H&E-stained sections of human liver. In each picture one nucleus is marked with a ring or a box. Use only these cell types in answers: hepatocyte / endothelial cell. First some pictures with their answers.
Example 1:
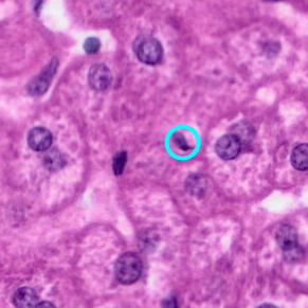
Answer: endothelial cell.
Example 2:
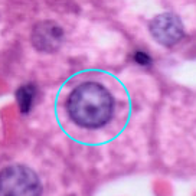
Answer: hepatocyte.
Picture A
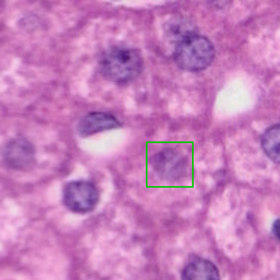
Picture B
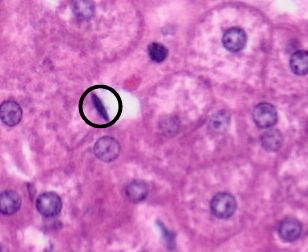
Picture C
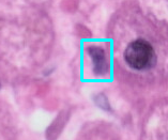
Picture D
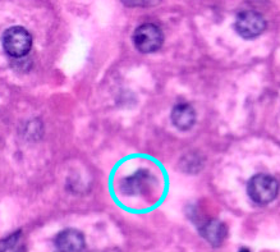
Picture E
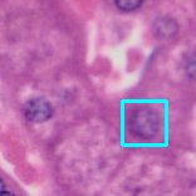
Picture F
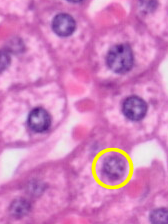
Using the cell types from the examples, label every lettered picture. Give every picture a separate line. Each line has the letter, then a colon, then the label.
A: hepatocyte.
B: endothelial cell.
C: endothelial cell.
D: endothelial cell.
E: hepatocyte.
F: hepatocyte.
